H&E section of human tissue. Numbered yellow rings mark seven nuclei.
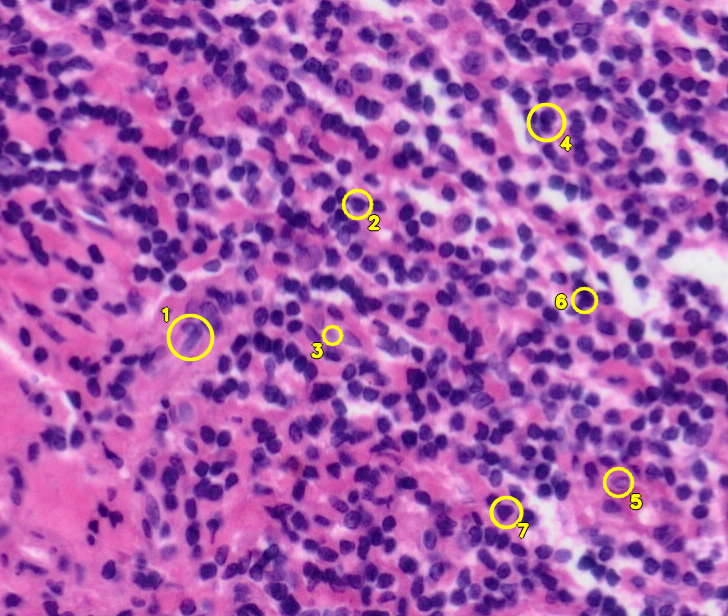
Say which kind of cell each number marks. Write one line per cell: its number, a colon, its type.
1: endothelial cell
2: small lymphocyte
3: endothelial cell
4: small lymphocyte
5: endothelial cell
6: small lymphocyte
7: small lymphocyte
